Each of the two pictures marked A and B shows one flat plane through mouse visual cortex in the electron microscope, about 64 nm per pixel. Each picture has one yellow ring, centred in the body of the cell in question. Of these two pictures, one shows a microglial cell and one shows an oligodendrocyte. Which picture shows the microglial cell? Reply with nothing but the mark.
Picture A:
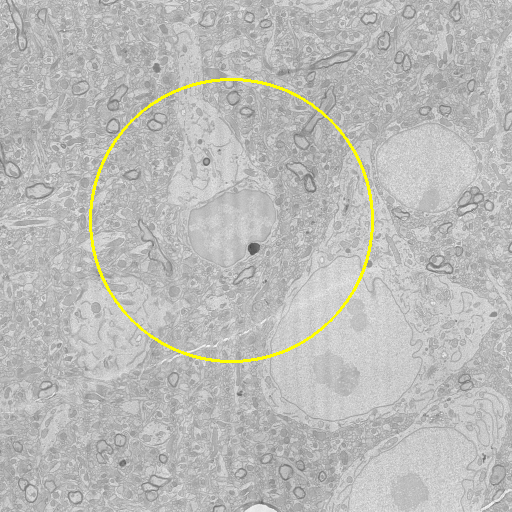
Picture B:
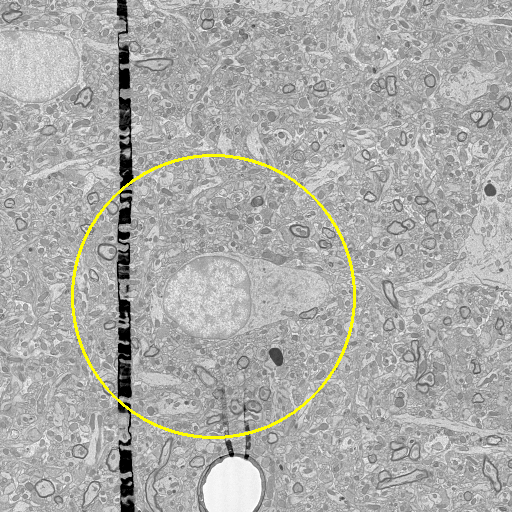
A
